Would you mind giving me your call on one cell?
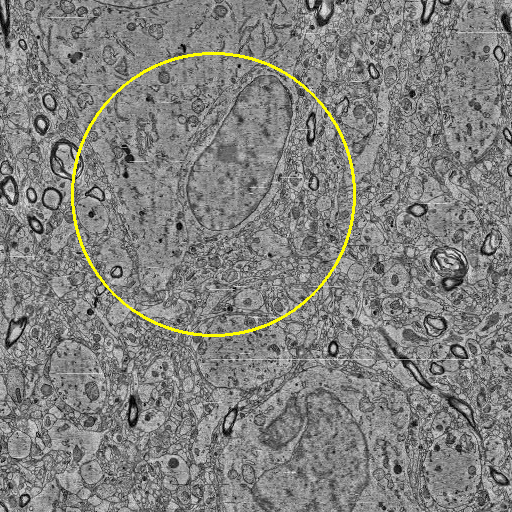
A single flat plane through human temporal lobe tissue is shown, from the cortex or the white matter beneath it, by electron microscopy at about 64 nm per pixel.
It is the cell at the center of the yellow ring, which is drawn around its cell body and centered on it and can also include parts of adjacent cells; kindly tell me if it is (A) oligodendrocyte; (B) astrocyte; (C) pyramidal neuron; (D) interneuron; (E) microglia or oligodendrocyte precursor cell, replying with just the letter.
E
